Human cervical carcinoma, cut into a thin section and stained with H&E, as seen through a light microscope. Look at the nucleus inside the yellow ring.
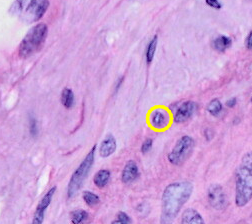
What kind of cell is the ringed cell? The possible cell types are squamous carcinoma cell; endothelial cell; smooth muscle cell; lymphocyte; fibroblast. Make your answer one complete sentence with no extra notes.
In this section, the ringed cell is a smooth muscle cell.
